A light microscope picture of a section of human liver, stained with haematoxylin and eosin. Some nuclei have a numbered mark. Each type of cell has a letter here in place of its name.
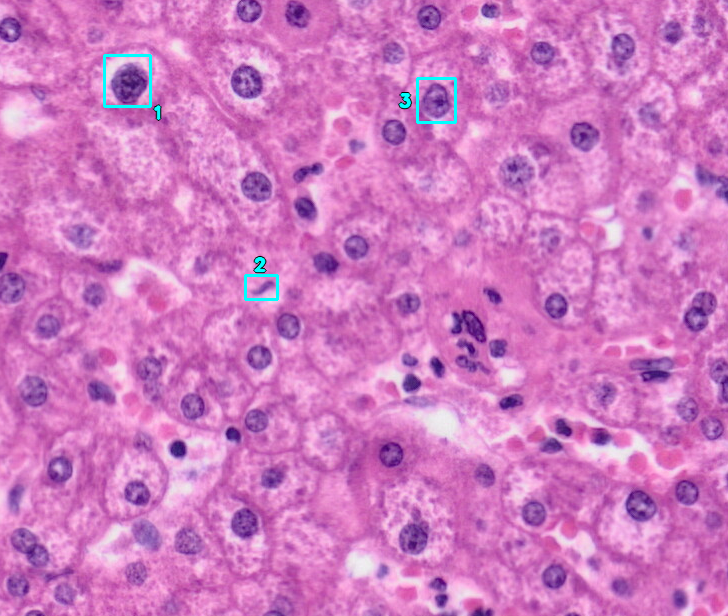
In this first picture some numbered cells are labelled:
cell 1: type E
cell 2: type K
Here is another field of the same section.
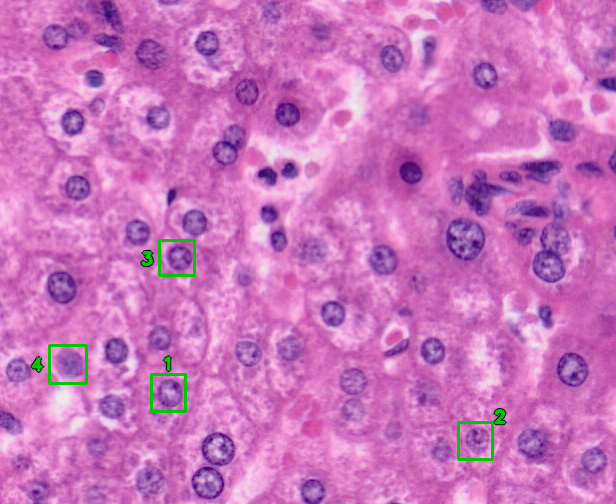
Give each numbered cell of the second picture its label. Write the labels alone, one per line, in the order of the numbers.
type E
type E
type E
type K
